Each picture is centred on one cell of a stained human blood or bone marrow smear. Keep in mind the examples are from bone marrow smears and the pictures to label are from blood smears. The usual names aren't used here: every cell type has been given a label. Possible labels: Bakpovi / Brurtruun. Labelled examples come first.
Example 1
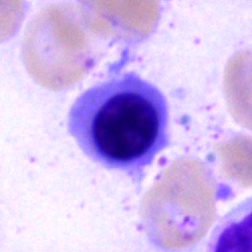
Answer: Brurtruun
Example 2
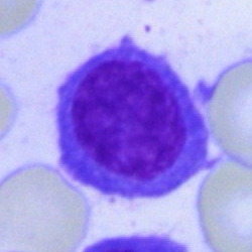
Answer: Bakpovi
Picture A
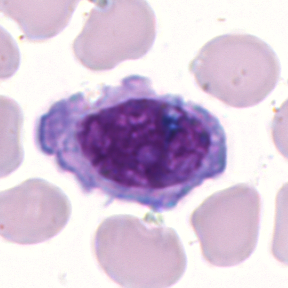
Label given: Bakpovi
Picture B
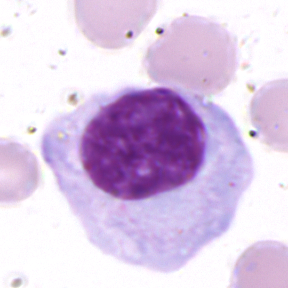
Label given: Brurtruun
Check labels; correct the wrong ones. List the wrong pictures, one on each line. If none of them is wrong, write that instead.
B is labelled Brurtruun; correct label: Bakpovi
